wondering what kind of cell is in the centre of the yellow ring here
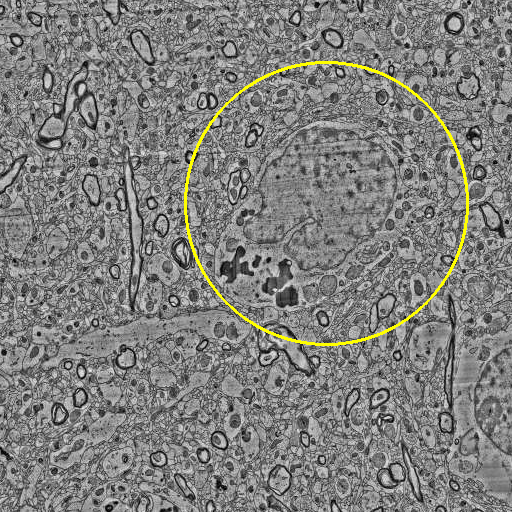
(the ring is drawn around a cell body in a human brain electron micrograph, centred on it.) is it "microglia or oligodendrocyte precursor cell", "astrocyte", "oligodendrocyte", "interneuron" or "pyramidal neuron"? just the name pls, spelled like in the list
interneuron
